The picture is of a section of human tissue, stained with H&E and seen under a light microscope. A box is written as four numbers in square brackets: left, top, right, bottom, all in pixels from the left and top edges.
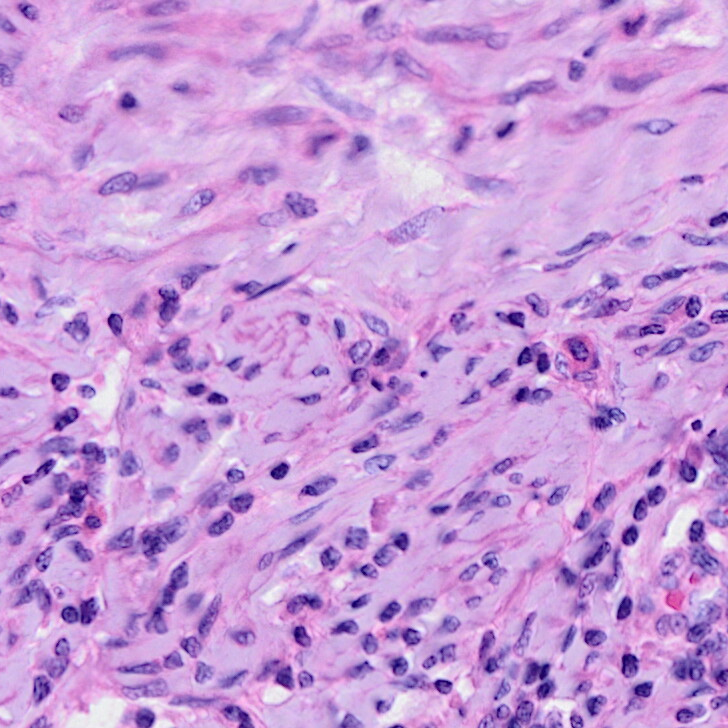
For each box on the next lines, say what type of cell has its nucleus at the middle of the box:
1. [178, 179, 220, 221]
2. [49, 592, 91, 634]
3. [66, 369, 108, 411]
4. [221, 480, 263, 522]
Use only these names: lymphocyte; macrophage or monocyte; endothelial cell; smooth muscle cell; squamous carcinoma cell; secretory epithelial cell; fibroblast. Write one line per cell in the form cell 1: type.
cell 1: smooth muscle cell
cell 2: lymphocyte
cell 3: lymphocyte
cell 4: lymphocyte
